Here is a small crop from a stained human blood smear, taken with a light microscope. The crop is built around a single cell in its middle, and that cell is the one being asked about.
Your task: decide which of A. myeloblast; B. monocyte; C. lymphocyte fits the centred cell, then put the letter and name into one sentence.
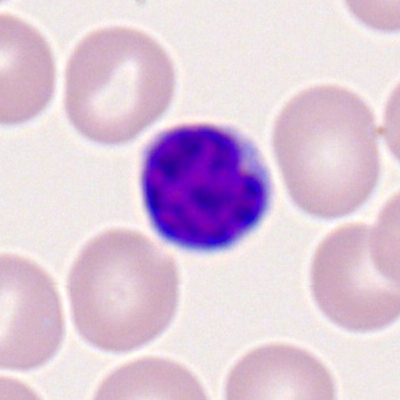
The correct option here is C; the middle cell is a lymphocyte.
